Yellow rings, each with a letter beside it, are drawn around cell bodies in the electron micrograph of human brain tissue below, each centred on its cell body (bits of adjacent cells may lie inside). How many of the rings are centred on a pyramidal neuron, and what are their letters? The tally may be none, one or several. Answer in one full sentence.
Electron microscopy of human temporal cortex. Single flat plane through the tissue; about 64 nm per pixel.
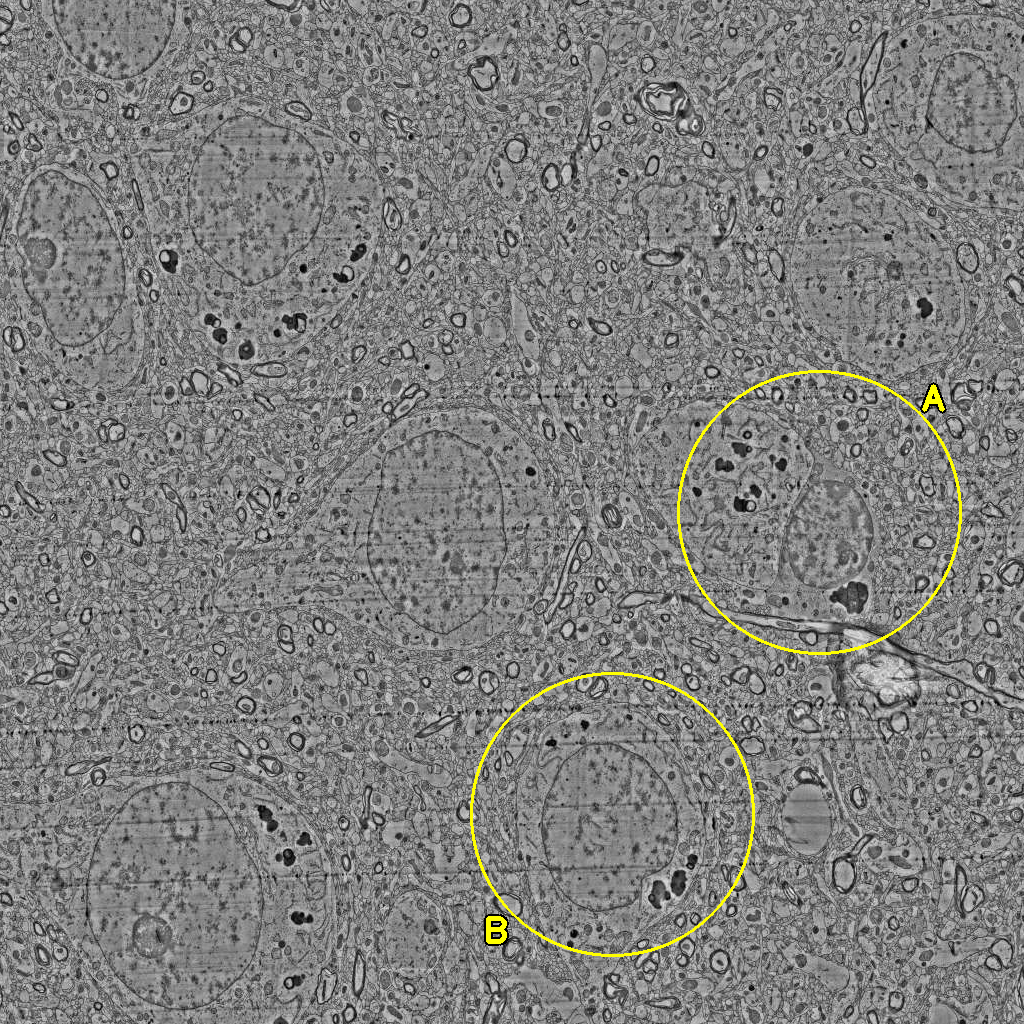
Only one ring takes a pyramidal neuron as its centre, and the letter B sits beside it.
